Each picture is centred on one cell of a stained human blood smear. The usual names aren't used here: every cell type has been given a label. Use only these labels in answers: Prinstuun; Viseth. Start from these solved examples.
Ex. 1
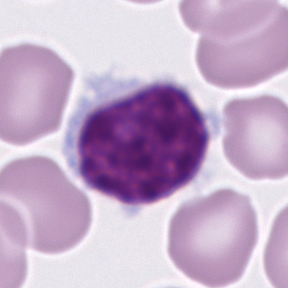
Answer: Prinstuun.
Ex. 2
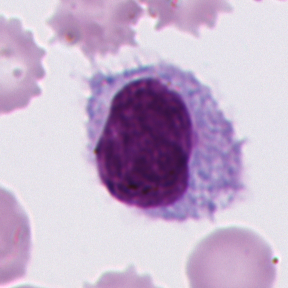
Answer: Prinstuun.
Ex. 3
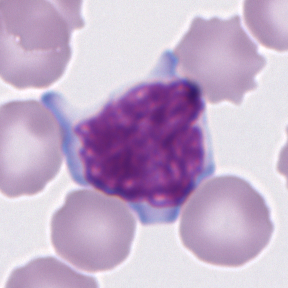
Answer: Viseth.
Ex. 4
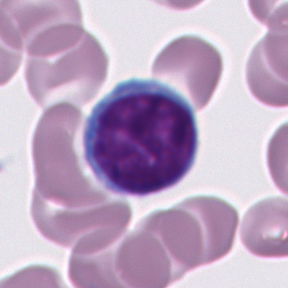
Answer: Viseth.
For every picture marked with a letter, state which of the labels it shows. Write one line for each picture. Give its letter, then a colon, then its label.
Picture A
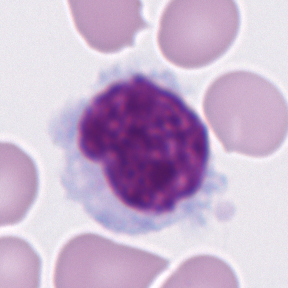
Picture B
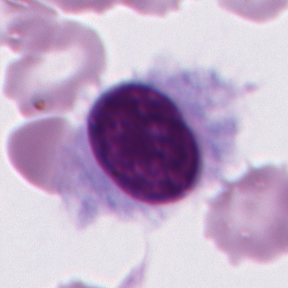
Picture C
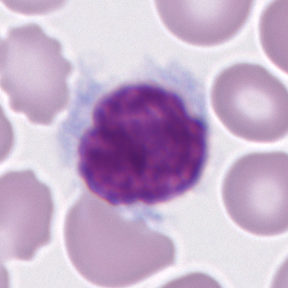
A: Prinstuun.
B: Prinstuun.
C: Prinstuun.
